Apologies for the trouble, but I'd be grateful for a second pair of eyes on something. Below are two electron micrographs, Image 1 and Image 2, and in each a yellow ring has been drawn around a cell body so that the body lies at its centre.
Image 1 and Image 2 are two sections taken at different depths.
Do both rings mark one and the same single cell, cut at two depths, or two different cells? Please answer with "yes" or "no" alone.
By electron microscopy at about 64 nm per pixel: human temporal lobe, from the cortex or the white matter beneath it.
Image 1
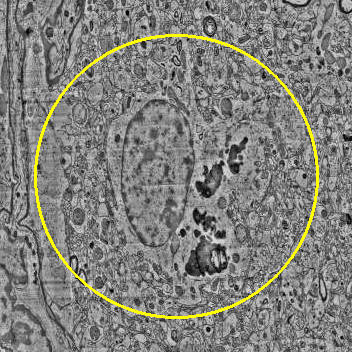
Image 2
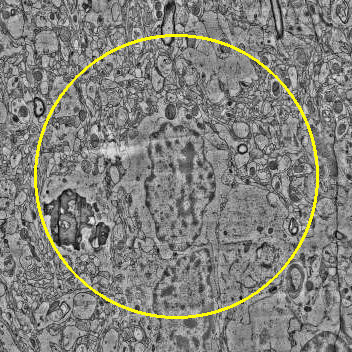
no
